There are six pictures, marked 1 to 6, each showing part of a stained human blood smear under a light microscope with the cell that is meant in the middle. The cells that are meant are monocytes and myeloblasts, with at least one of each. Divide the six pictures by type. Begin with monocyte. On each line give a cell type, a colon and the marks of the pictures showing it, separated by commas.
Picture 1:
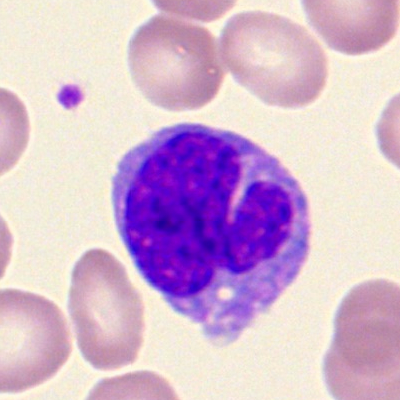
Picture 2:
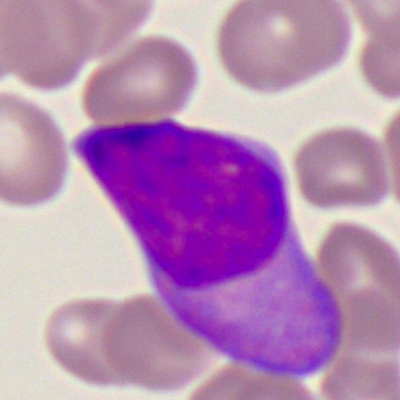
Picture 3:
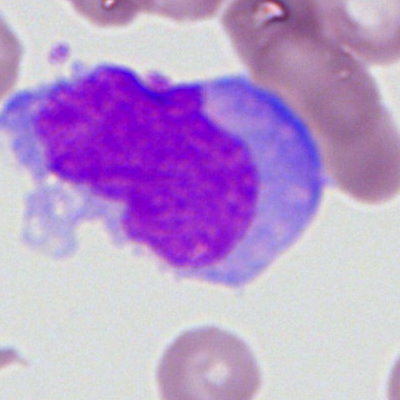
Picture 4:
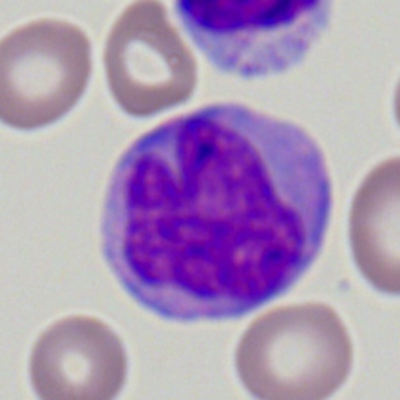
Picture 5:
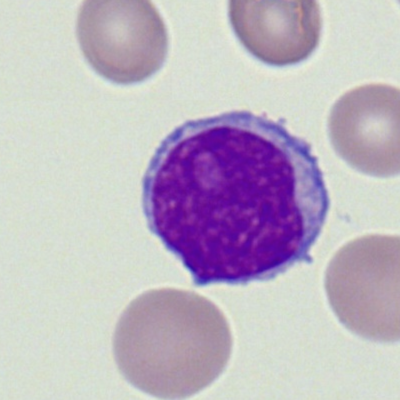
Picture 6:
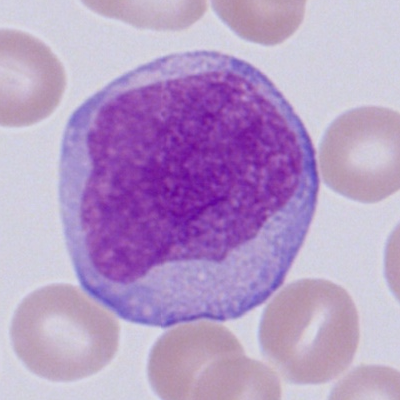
monocyte: 1, 3, 4
myeloblast: 2, 5, 6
